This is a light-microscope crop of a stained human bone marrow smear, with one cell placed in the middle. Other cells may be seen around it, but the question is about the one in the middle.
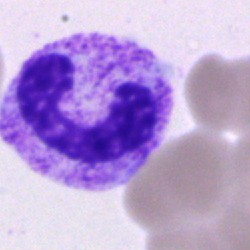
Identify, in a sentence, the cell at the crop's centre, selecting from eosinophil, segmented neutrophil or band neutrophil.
Looking at the middle of the crop, the cell there is a band neutrophil.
